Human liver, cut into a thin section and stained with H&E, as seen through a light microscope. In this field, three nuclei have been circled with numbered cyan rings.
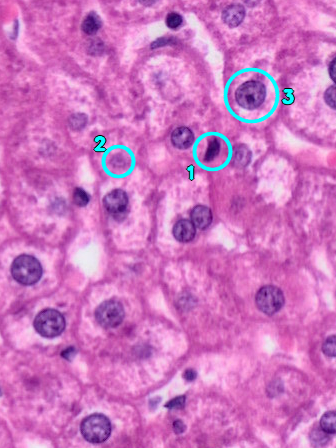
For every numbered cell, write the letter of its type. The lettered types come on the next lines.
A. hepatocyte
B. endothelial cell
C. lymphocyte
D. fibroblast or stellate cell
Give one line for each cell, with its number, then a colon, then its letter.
1: D
2: A
3: A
